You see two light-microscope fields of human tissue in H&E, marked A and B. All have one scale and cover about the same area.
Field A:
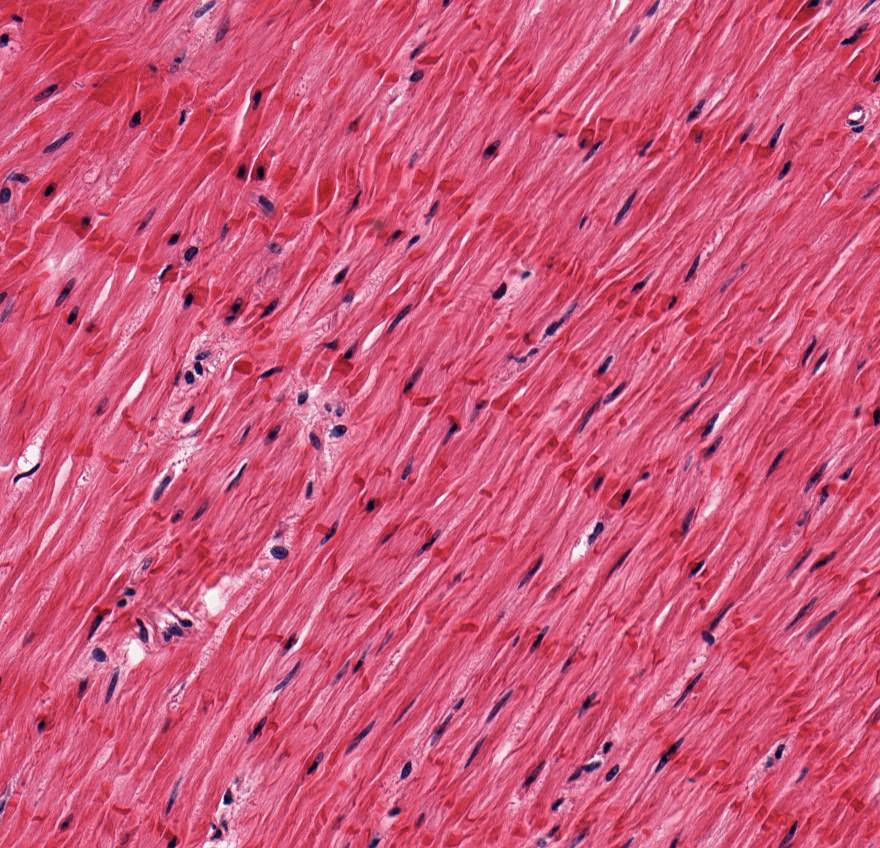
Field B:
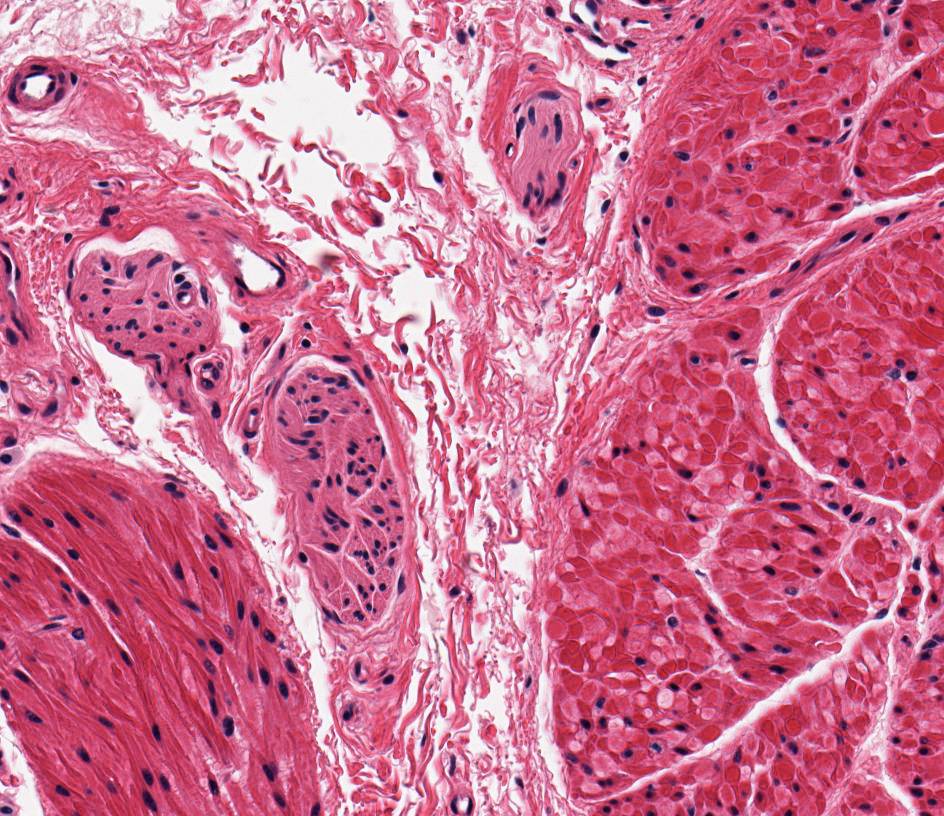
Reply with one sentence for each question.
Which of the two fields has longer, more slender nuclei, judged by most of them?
Longer, more slender nuclei lie in field A.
